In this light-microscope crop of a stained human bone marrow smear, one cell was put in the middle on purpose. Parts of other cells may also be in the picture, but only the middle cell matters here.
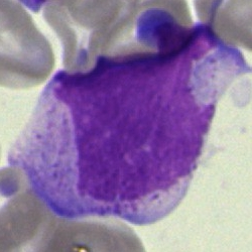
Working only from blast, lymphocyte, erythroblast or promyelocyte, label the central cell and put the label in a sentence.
In this crop, the cell at the very middle is a blast.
